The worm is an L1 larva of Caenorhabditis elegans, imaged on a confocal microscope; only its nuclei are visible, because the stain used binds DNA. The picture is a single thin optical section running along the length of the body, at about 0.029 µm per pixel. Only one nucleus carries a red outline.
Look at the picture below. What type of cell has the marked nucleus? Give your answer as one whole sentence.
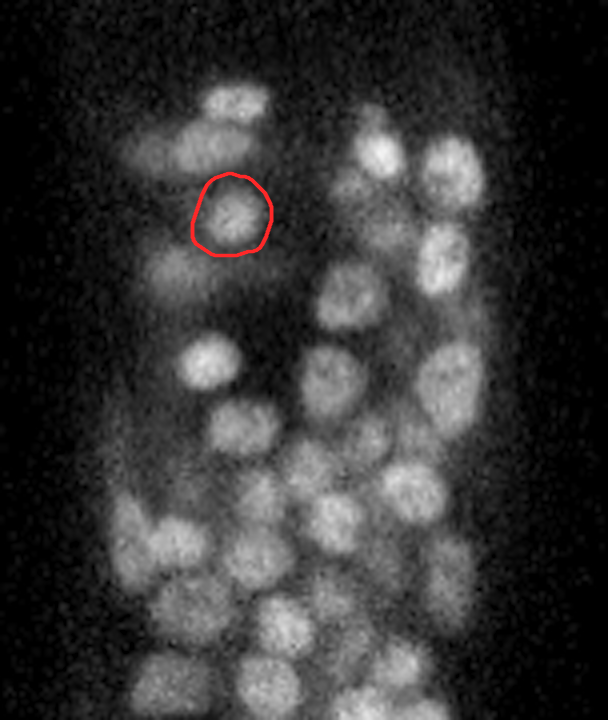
It is the nucleus of a neuron.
